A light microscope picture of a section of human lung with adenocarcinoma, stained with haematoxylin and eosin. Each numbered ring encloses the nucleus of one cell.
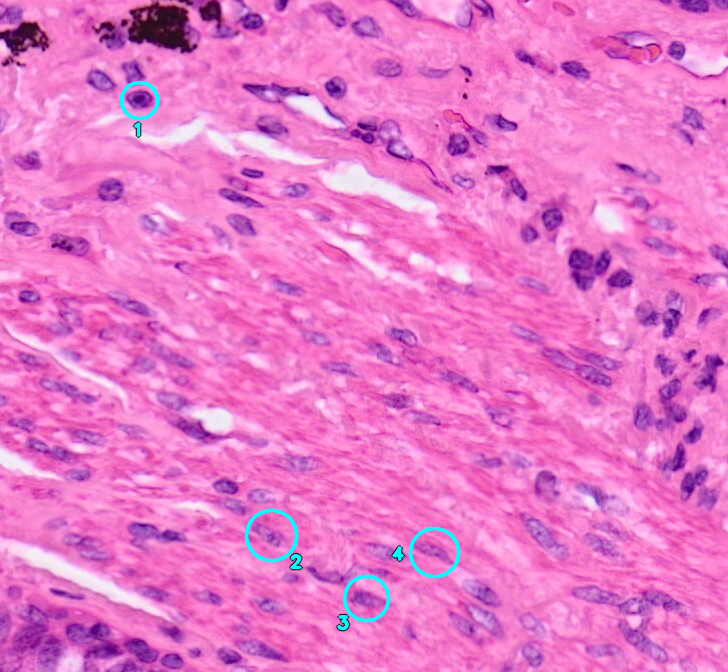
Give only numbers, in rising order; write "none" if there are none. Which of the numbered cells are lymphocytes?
1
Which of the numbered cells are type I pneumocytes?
none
